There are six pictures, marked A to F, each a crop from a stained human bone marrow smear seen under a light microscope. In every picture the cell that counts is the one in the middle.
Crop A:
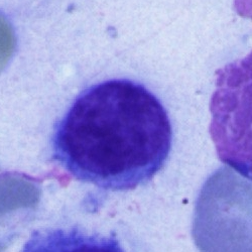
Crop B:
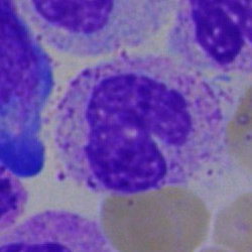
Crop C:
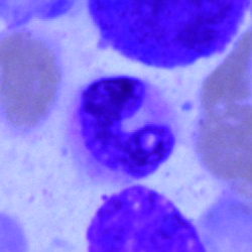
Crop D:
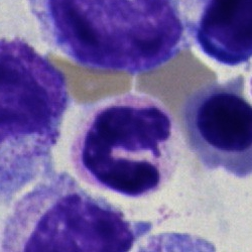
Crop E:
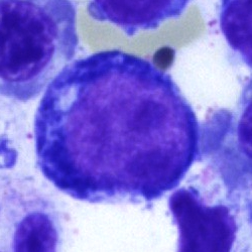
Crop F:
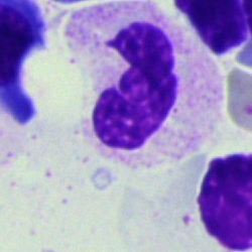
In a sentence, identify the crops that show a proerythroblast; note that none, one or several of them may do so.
Only a single crop, crop E, shows a proerythroblast.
